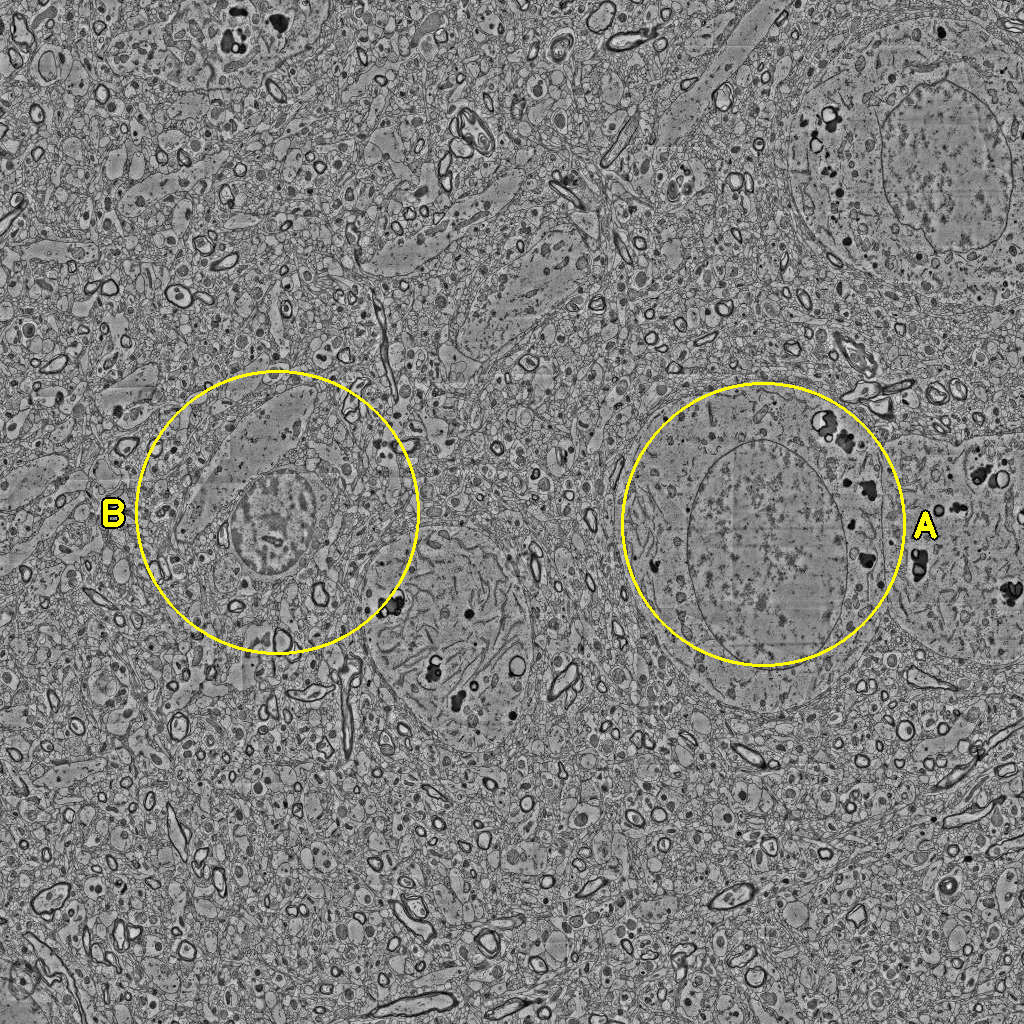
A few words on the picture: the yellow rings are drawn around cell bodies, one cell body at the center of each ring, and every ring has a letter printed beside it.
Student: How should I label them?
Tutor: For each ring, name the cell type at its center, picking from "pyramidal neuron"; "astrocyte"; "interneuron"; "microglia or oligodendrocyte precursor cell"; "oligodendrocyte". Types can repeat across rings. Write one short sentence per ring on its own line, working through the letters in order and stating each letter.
In ring A, the central cell is a pyramidal neuron.
In ring B, the central cell is an oligodendrocyte.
